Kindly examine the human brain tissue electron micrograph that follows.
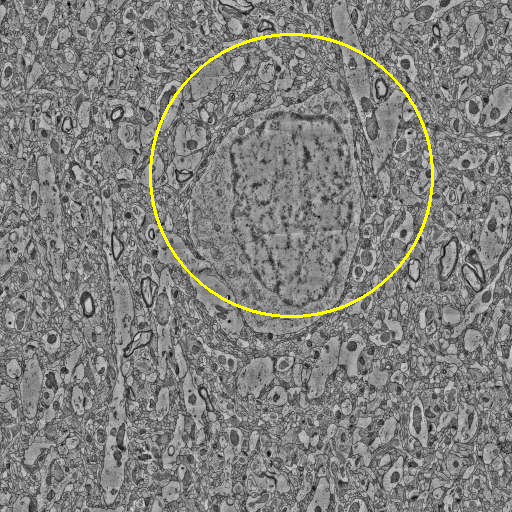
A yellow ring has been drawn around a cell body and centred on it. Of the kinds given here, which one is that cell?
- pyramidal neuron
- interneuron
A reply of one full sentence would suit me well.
The micrograph's ringed cell, the one at the ring's centre, is an interneuron.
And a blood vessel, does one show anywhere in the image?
No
